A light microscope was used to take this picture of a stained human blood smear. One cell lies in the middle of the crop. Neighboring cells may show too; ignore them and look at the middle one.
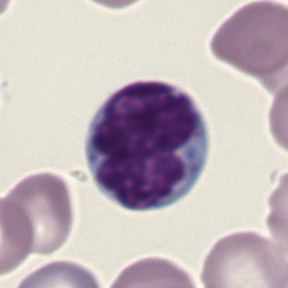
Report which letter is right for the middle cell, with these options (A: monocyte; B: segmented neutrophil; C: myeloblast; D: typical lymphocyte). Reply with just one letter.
D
